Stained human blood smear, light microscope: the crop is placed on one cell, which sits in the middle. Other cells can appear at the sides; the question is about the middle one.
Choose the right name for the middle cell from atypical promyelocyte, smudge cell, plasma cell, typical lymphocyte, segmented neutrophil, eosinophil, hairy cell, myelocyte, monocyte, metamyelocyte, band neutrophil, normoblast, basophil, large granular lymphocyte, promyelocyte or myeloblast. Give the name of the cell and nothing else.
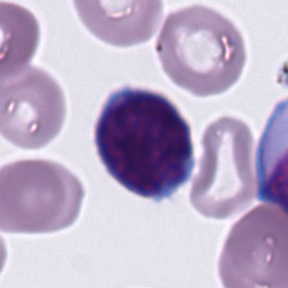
typical lymphocyte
